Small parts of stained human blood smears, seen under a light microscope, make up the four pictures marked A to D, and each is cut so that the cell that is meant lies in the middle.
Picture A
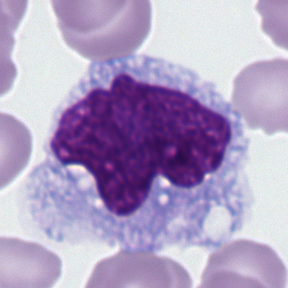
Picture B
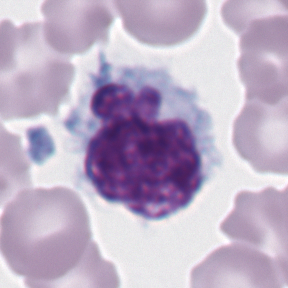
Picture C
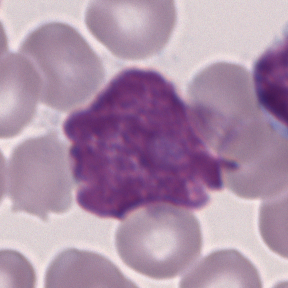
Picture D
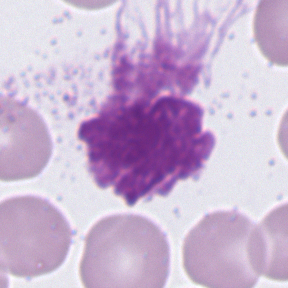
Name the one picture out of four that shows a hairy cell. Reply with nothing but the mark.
B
